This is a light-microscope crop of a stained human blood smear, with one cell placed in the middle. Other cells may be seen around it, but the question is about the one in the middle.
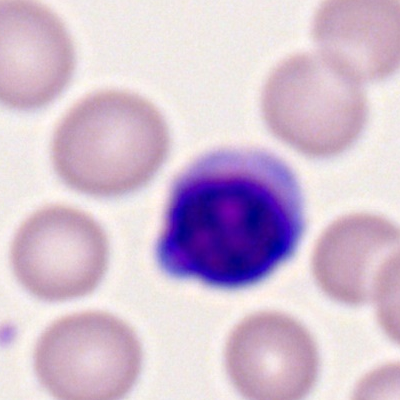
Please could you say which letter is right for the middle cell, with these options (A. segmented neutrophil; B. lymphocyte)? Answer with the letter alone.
B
